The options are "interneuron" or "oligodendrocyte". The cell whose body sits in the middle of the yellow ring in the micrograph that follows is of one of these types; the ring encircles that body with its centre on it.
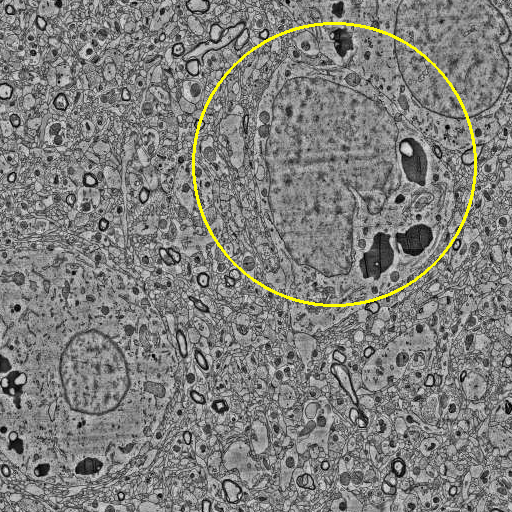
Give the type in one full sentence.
Going by the micrograph, the cell centred in the yellow ring is an interneuron.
